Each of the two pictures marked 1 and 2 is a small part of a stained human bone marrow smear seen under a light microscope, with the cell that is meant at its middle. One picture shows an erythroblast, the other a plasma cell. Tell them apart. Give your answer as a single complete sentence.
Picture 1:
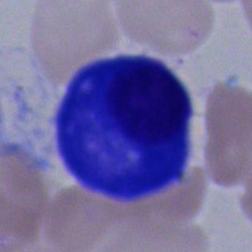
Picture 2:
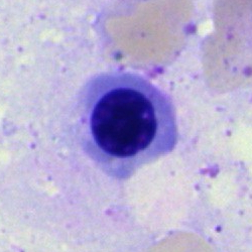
Picture 1 shows a plasma cell and picture 2 shows an erythroblast.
